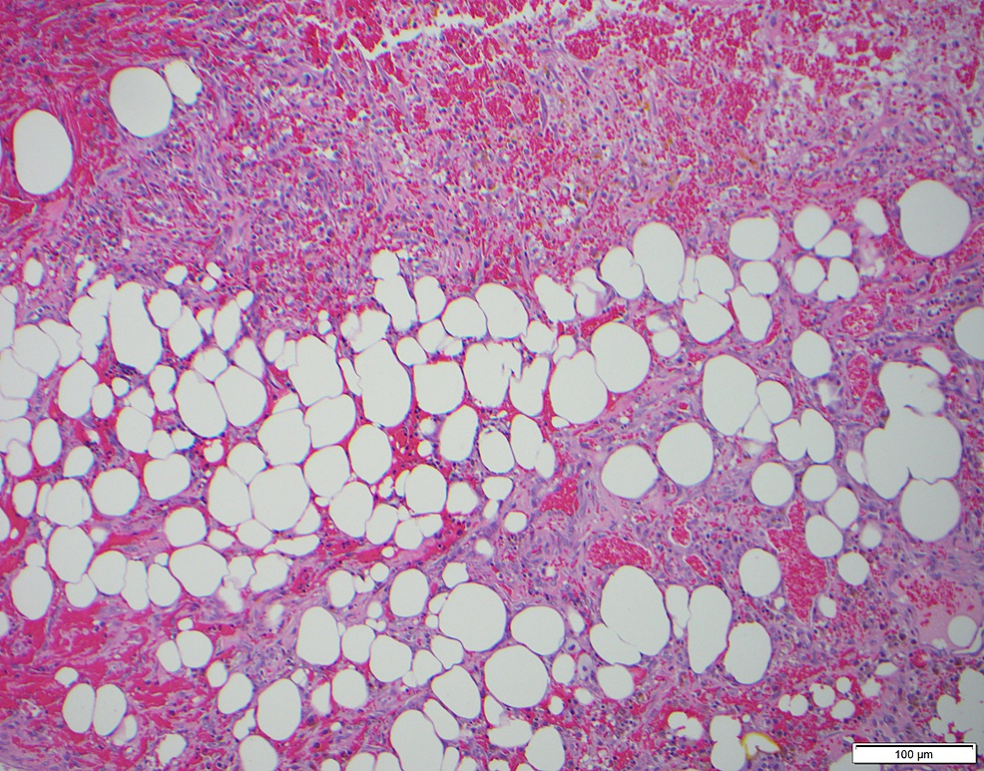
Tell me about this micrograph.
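This low-power field shows a lesion in which blood, spindle cells and fat are mixed together. The upper part is dominated by large sheets of bright red blood cells lying free in the tissue, which is extensive hemorrhage. Small golden-brown granules of pigment can be made out in places within the bloody areas.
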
